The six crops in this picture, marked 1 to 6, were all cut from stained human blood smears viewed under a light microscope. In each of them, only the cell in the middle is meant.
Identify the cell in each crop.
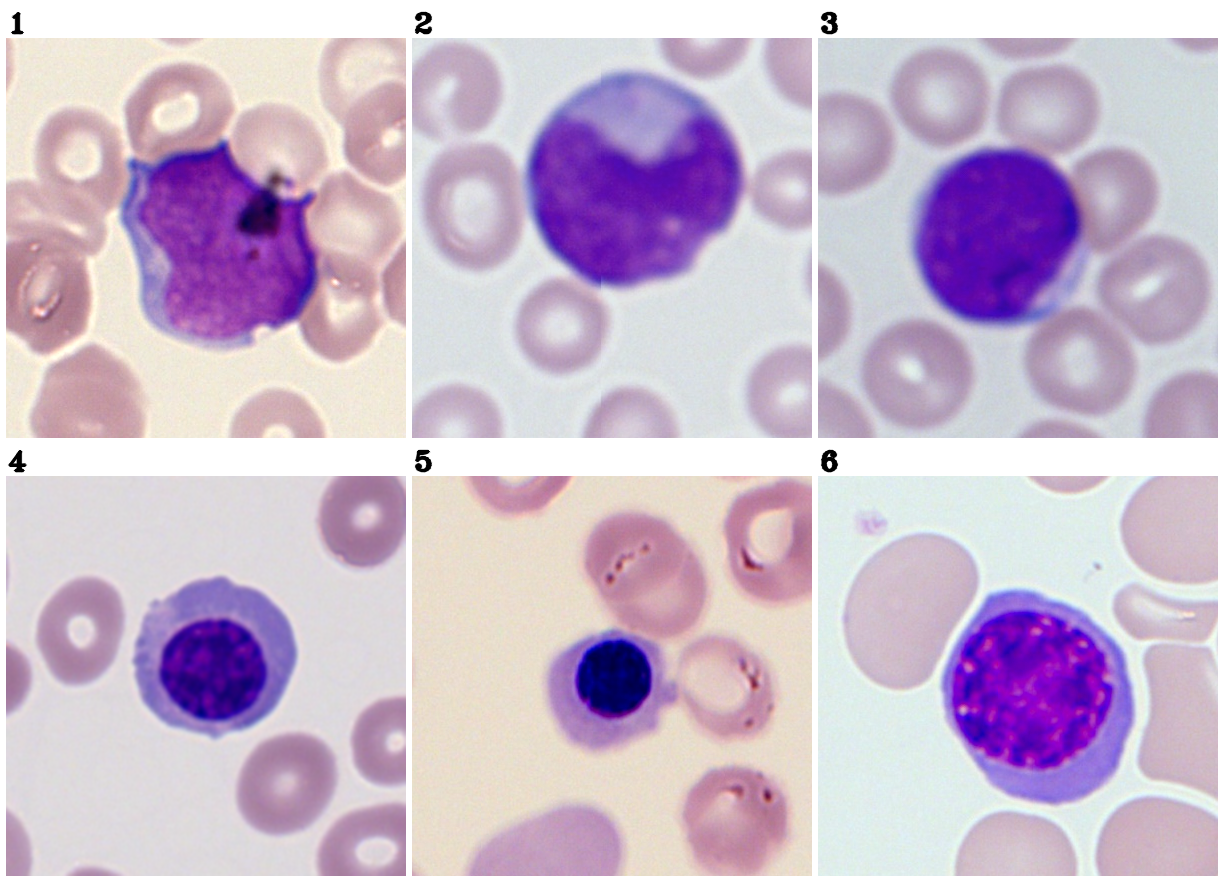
1: myeloblast
2: myeloblast
3: myeloblast
4: erythroblast
5: erythroblast
6: erythroblast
